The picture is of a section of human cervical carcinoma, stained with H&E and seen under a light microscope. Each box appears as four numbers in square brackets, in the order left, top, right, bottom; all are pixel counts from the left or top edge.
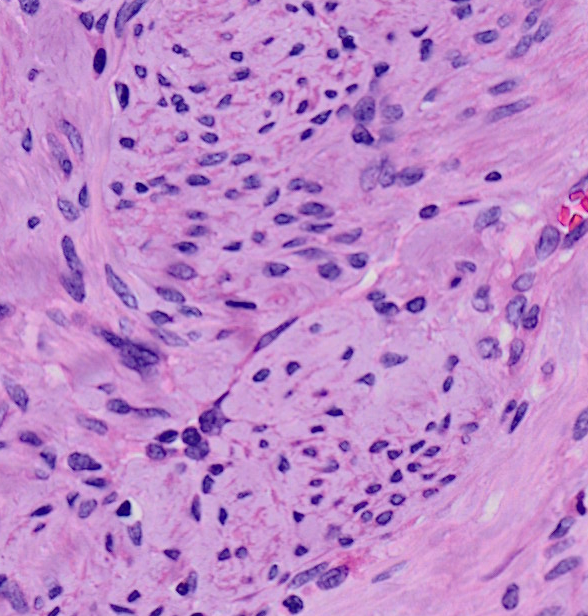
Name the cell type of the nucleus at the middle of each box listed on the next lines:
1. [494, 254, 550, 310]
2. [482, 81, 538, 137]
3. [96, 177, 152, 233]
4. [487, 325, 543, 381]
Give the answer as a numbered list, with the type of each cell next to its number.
1. endothelial cell
2. smooth muscle cell
3. smooth muscle cell
4. endothelial cell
